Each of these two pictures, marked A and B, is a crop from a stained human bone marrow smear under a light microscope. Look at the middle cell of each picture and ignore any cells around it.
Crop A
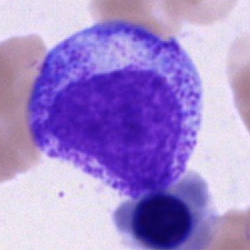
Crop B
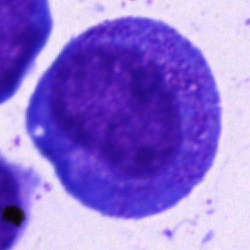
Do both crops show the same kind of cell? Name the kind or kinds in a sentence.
Yes, both crops show promyelocytes, to put it briefly.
